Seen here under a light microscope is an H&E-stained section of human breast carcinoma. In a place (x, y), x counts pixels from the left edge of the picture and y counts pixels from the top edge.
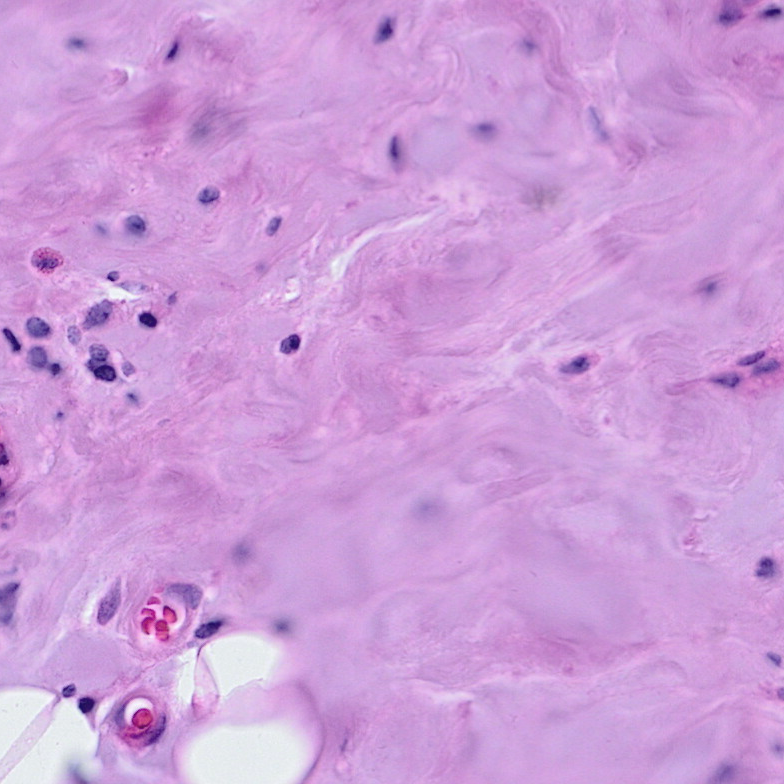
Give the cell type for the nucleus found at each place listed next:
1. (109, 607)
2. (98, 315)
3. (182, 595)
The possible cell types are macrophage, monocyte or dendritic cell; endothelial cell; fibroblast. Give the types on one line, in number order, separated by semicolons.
fibroblast; macrophage, monocyte or dendritic cell; endothelial cell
